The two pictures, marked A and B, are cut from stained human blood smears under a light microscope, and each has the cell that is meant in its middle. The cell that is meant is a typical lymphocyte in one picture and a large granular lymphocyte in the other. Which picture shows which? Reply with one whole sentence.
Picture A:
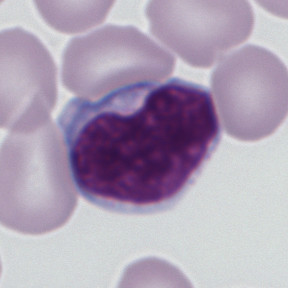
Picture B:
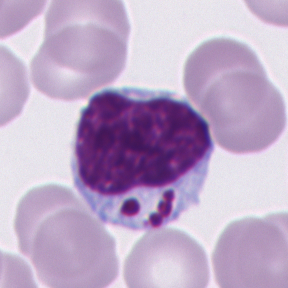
Picture A shows a typical lymphocyte and picture B shows a large granular lymphocyte.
